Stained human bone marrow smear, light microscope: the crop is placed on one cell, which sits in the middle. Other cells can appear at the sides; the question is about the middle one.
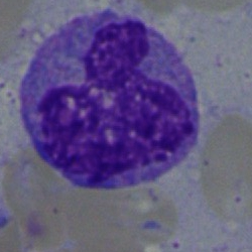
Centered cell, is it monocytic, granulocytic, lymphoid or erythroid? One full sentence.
On lineage, the cell in the middle of the crop is monocytic.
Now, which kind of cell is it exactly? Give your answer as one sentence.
Here the centrally located cell is a monocyte.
